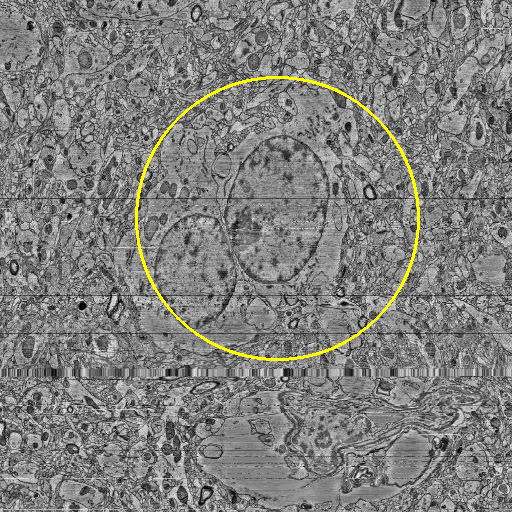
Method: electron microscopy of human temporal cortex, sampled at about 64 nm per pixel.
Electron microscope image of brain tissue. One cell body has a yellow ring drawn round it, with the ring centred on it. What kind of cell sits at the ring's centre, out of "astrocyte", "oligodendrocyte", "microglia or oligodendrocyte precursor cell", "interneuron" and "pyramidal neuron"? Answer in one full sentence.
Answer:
It is an astrocyte whose cell body sits at the centre of the yellow ring.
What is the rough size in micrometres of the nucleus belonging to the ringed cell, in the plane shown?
In this plane, the nucleus of the cell at the centre of the ring measures about 10 by 7 micrometres.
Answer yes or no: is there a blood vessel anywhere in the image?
Yes, one is visible.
